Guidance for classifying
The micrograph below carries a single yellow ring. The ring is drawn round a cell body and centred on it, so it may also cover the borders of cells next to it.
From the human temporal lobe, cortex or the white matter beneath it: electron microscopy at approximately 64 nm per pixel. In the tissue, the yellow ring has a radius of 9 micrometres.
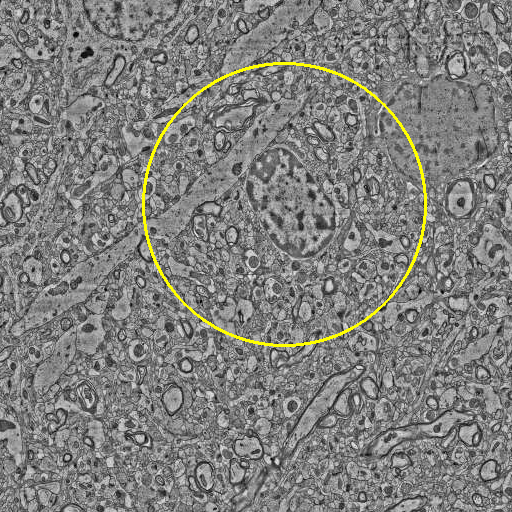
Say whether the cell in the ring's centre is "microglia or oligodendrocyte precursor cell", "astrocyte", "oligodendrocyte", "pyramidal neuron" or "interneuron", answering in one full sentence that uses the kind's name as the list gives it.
Within the yellow ring, a microglial cell or oligodendrocyte precursor cell is the cell whose body sits at the centre.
